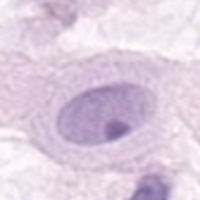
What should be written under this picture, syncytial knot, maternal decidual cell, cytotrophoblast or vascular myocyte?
maternal decidual cell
